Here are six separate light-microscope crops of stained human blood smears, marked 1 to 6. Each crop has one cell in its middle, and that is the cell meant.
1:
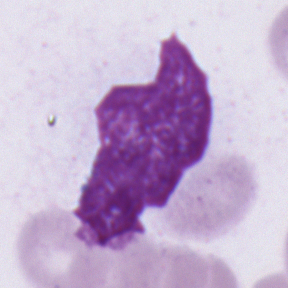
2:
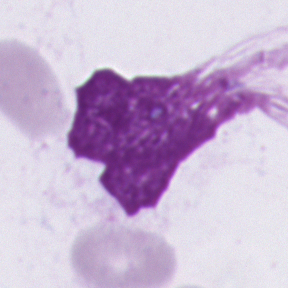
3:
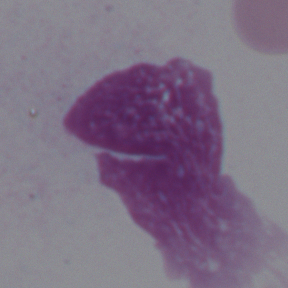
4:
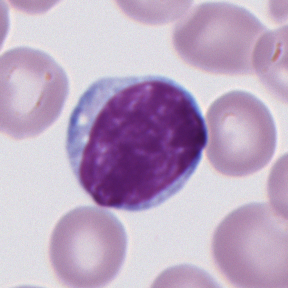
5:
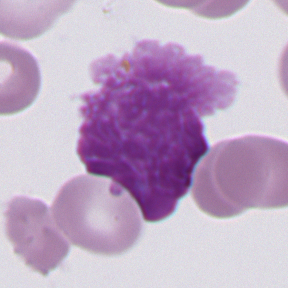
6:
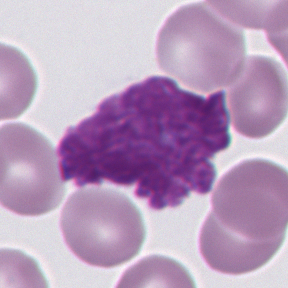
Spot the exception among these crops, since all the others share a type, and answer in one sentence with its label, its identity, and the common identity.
Among the crops, crop 4 is unique in showing a typical lymphocyte; the others show smudge cells.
